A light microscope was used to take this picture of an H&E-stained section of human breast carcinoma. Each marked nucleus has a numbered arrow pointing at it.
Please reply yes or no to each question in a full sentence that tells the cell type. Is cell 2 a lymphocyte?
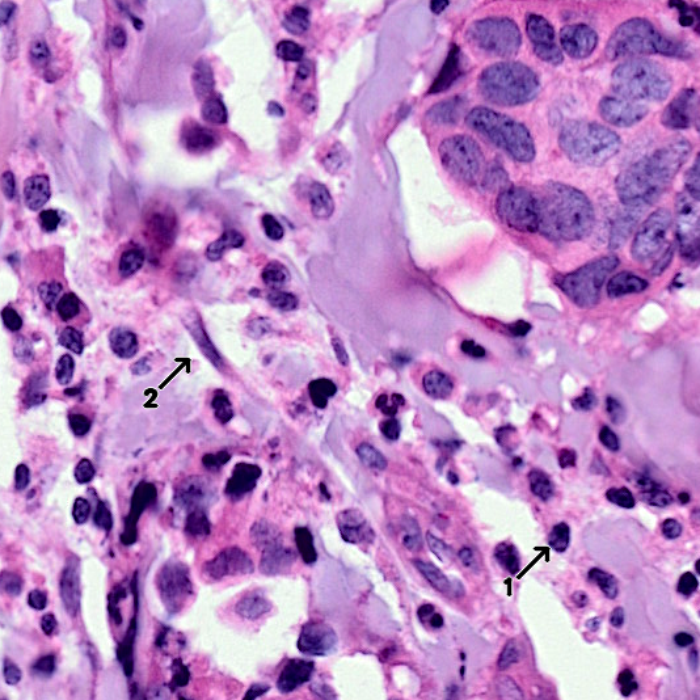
No, the one with number 2 is a fibroblast, not a lymphocyte.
